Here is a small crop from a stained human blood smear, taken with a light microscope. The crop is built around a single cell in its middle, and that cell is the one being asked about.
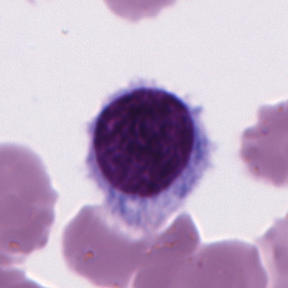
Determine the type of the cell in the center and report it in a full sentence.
What the crop centres on is a hairy cell.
